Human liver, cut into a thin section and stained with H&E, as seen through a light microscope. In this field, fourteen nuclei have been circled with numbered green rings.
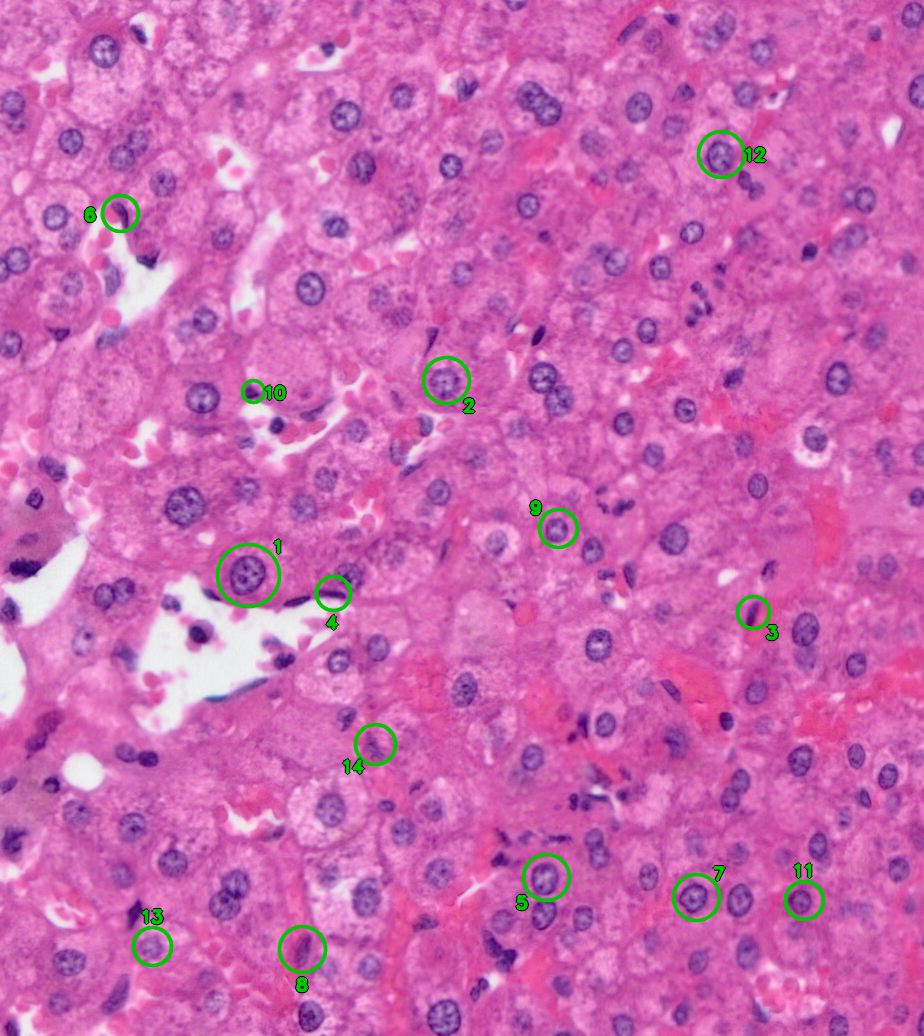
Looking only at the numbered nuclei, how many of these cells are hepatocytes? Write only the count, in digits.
8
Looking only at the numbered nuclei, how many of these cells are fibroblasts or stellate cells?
2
